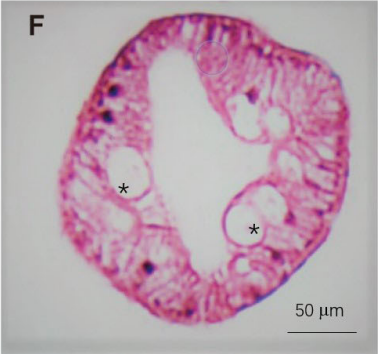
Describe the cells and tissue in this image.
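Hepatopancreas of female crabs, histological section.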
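A cross-section of a hepatopancreatic tubule shows a single layer of tall columnar epithelial cells stained pink around an elongated central lumen. Within the epithelial wall lie several large, round, clear vacuoles bounded by thin pink rims, far larger than the cells' nuclei.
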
